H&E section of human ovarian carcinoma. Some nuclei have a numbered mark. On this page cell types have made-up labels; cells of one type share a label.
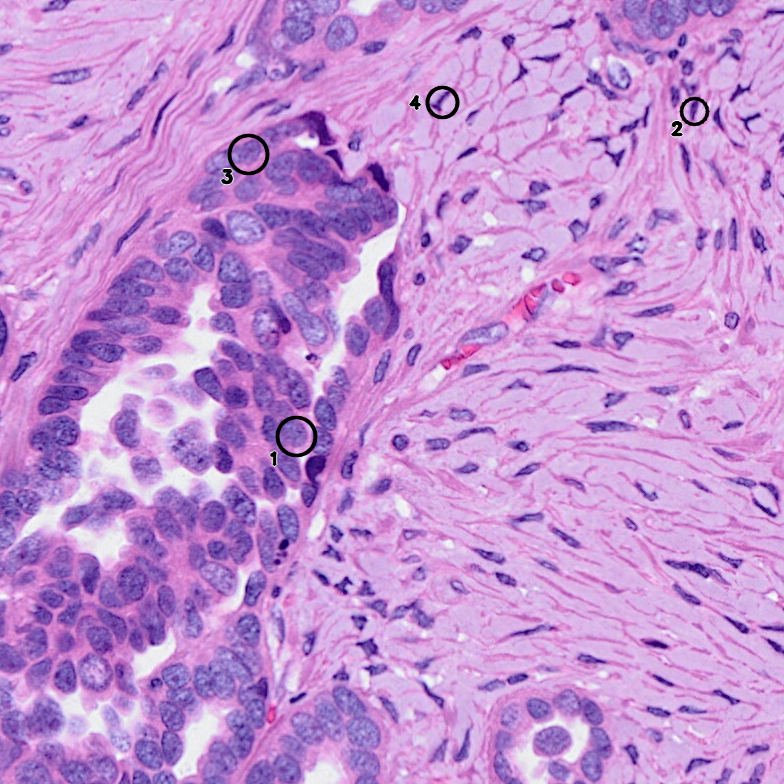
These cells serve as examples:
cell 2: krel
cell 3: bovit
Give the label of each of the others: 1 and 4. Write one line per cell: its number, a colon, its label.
1: bovit
4: krel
